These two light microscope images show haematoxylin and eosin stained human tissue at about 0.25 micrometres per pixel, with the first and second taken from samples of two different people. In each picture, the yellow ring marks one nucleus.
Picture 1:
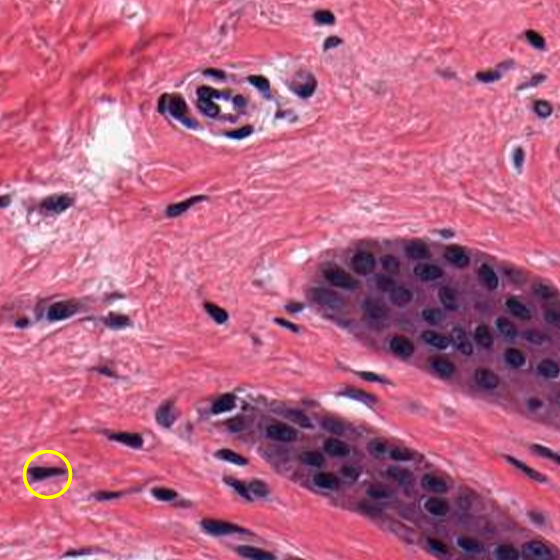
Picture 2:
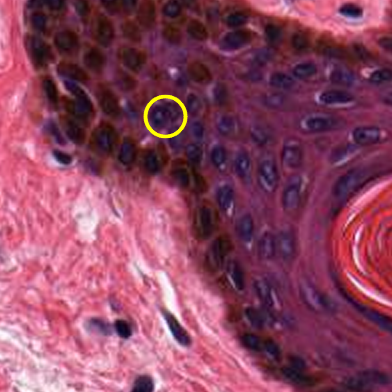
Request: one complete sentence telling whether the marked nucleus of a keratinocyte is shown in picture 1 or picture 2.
While the marked nucleus in picture 2 belongs to a keratinocyte, the one in the other picture does not.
